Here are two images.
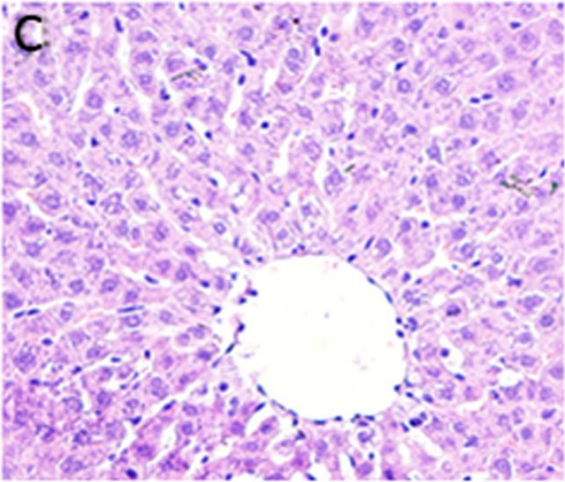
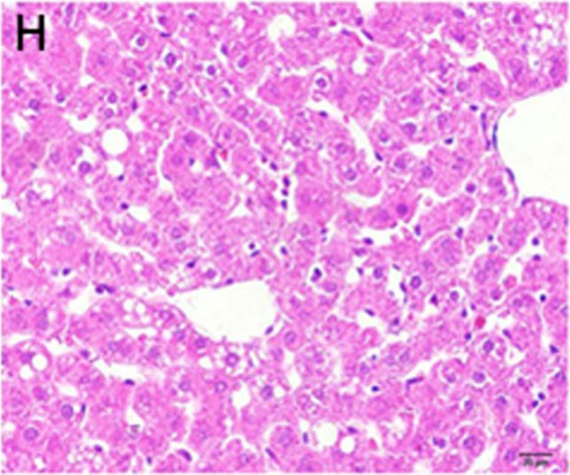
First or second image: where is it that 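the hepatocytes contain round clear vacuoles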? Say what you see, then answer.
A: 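The second image. Second image: several round, empty clear vacuoles lie within hepatocytes. First image: hepatocyte cytoplasm is evenly stained, without clear round vacuoles.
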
